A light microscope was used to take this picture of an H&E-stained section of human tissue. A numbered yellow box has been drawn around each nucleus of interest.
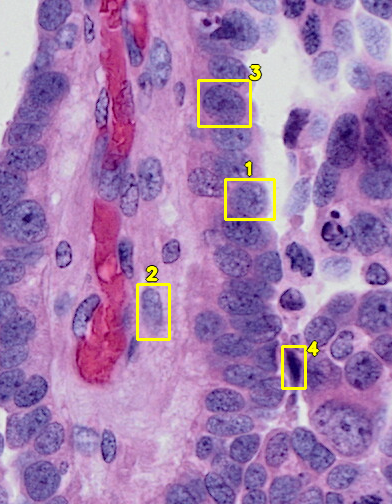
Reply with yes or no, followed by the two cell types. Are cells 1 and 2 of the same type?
No, cell 1 is a carcinoma cell, and in contrast cell 2 is a fibroblast.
